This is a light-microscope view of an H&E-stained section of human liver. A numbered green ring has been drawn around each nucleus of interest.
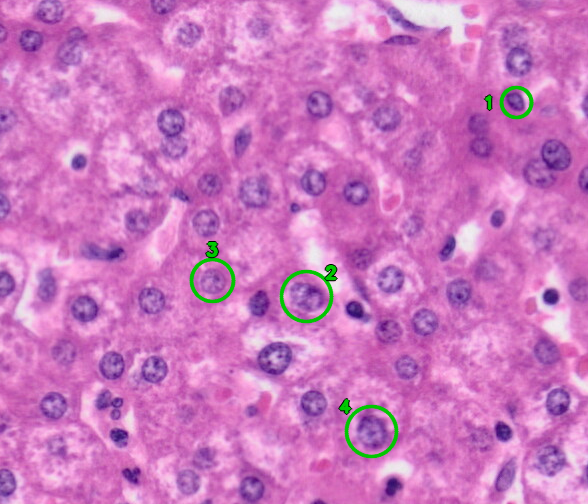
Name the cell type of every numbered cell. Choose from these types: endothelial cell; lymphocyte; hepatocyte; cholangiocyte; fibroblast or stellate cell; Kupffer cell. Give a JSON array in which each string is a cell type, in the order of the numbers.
["fibroblast or stellate cell", "hepatocyte", "hepatocyte", "hepatocyte"]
